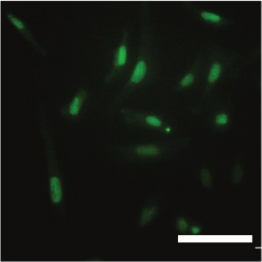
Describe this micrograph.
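Sparse cultured cells, scattered and separate from one another. They are elongated or spindle-shaped, some with long faint tails. Green fluorescence is strongest in an oval central region of each cell and fainter along the thin cytoplasmic extensions. Cells lie at varied angles on a dark background with no contact between most of them.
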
